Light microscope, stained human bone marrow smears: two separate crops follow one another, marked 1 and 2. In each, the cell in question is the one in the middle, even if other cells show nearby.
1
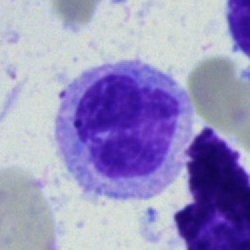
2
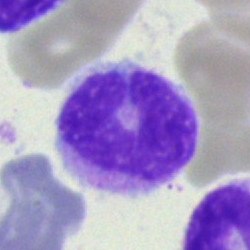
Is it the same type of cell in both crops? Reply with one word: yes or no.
yes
